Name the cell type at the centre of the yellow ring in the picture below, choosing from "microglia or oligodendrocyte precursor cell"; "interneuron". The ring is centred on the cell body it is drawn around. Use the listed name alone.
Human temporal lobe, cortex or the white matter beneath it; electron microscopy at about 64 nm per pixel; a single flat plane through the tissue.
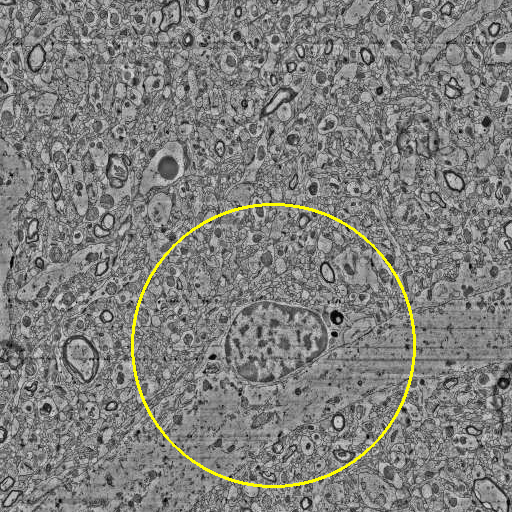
microglia or oligodendrocyte precursor cell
